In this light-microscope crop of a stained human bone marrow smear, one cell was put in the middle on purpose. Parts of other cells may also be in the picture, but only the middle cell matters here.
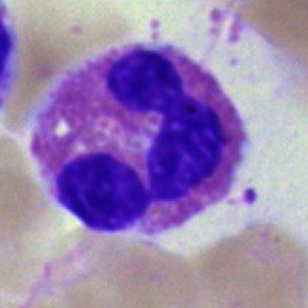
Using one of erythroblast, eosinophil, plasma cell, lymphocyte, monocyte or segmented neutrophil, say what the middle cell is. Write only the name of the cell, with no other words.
eosinophil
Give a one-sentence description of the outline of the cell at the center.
Its surface contour is regular and smooth, without any protrusions.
